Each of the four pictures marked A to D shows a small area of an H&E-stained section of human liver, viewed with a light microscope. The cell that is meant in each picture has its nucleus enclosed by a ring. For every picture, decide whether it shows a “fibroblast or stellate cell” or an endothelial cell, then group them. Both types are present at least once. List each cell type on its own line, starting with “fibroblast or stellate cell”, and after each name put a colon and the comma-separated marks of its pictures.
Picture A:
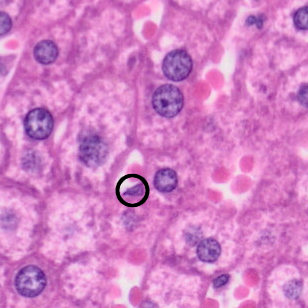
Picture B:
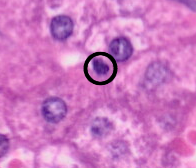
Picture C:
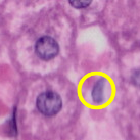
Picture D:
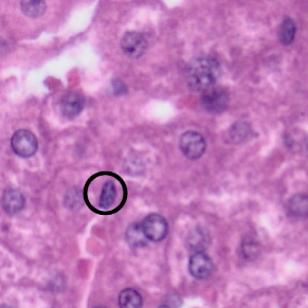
fibroblast or stellate cell: B, D
endothelial cell: A, C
